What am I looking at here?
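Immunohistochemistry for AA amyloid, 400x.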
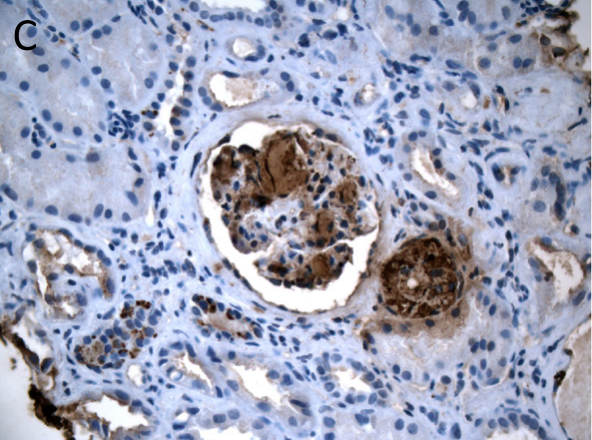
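This is kidney cortex with two glomeruli whose tufts are largely replaced by broad, smudgy brown deposits. A wide clear Bowman's space surrounds the tuft. The smaller neighbouring round structure is almost entirely brown. The surrounding tubules have blue-nucleated epithelium and open lumens. Some vessel walls and tubular lumens near the edges also carry brown. The interstitium between the tubules is slightly widened, with scattered elongated nuclei.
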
